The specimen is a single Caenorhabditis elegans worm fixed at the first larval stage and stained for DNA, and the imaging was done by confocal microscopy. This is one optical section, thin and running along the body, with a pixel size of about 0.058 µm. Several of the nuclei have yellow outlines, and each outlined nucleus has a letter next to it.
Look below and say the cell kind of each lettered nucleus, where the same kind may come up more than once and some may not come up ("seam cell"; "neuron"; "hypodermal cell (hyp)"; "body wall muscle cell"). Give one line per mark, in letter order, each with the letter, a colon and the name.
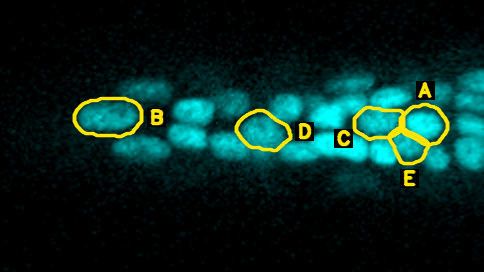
A: neuron
B: hypodermal cell (hyp)
C: neuron
D: seam cell
E: neuron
